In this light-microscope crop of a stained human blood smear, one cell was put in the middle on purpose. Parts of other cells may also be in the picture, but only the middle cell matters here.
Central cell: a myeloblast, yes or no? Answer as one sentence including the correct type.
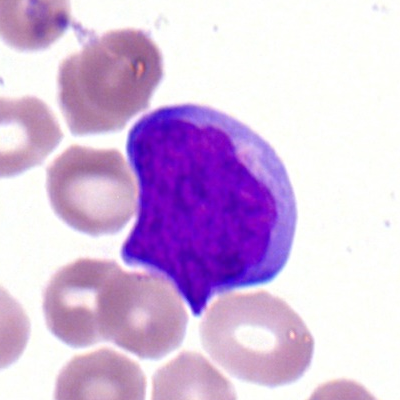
Yes, that is right: the middle cell is a myeloblast.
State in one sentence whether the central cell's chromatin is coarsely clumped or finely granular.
The chromatin is fine, with no coarse clumping anywhere.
